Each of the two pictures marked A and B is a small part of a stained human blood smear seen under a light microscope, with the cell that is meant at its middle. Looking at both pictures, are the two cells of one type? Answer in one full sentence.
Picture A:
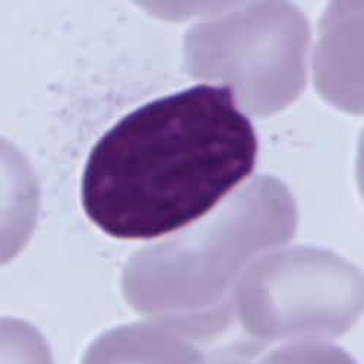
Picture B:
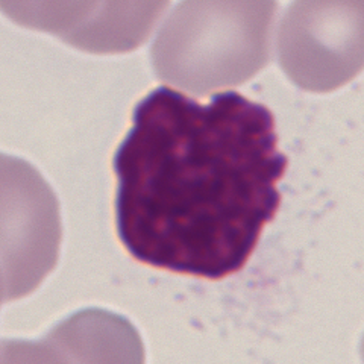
Yes; the cells in both pictures are smudge cells.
